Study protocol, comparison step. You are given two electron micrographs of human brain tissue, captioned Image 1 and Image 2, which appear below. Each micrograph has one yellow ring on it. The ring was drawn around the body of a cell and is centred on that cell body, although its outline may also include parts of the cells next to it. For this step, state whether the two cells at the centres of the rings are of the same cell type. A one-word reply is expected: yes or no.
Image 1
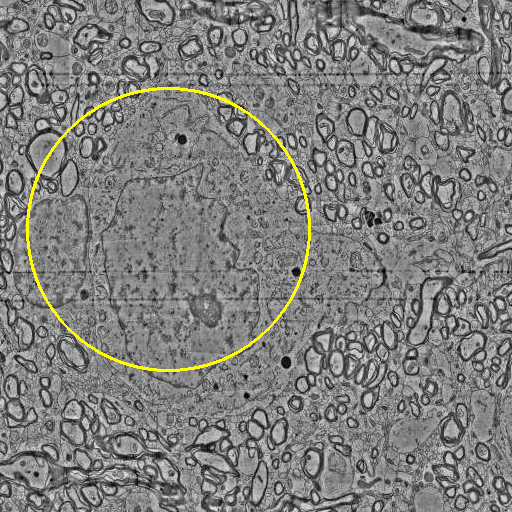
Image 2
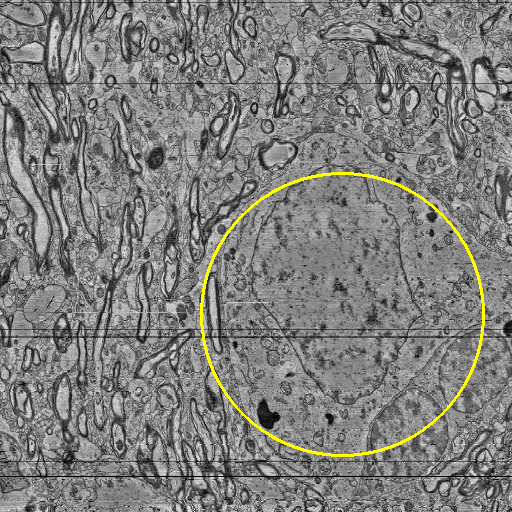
yes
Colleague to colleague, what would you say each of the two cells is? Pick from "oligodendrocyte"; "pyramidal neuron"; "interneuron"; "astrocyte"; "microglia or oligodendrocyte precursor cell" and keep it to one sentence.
Both the first and the second picture show a pyramidal neuron in the ring.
